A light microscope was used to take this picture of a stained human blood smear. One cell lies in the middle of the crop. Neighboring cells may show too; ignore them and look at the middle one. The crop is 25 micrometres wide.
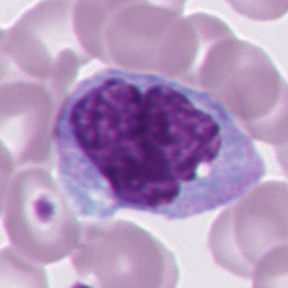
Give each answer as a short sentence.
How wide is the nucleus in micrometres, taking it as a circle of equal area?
It measures about 11 micrometres across.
